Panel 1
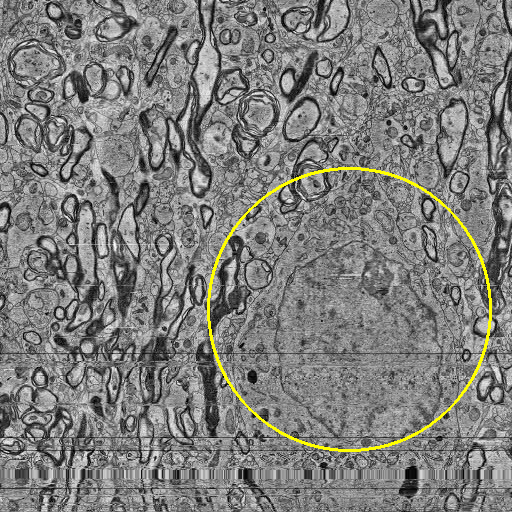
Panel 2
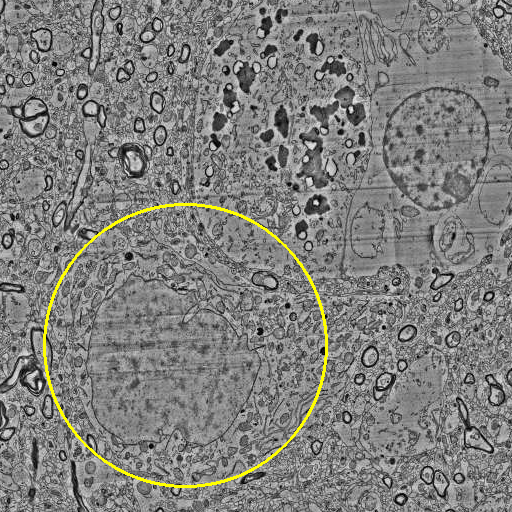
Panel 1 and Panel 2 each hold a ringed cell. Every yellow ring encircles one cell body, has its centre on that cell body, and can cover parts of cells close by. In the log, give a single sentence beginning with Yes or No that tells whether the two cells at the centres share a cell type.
Yes, in Panel 1 and Panel 2 the centred cells share a cell type.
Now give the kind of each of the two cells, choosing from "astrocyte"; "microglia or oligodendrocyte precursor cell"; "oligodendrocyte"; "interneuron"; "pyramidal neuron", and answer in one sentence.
The second cell is an interneuron, just as the first is.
